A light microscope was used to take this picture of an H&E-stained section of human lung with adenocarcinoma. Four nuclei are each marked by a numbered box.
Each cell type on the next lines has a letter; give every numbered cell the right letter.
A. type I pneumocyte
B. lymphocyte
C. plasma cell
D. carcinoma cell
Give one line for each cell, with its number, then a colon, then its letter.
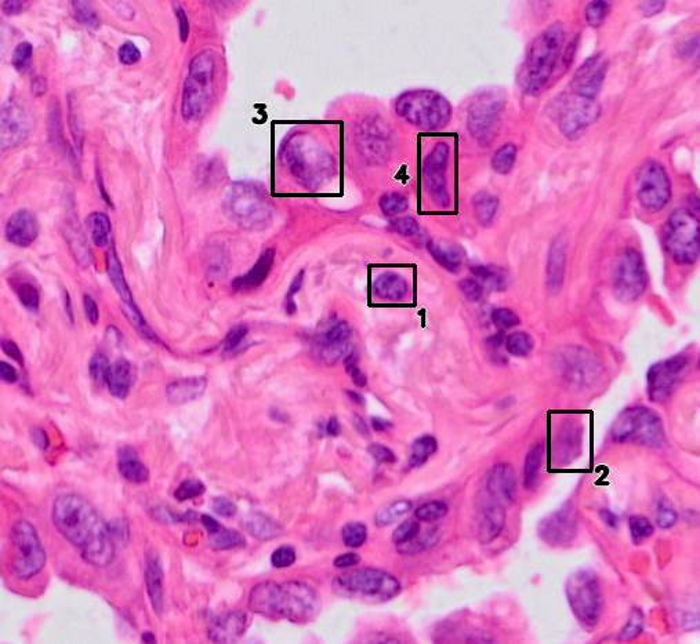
1: C
2: D
3: D
4: D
